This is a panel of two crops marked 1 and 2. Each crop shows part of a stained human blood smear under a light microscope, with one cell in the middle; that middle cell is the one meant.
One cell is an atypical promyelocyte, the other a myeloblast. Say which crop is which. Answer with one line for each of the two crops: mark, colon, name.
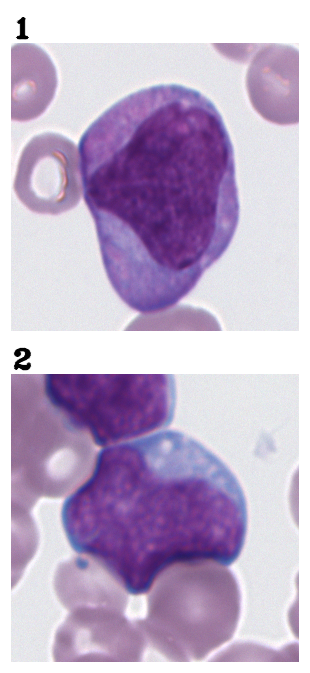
1: atypical promyelocyte
2: myeloblast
